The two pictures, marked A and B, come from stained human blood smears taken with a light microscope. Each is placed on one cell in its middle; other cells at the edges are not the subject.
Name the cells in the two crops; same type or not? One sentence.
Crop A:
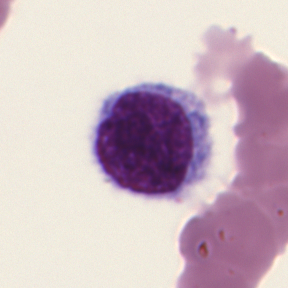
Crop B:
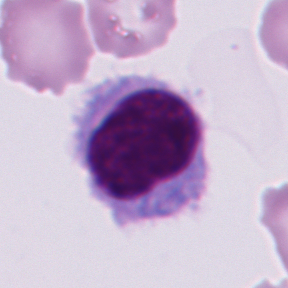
Yes, both crops show hairy cells in their central position.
